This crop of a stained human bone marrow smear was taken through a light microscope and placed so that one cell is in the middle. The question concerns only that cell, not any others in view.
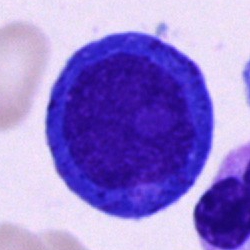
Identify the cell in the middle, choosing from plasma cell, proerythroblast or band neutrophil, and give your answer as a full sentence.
The cell in the middle of the field of view is a proerythroblast.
